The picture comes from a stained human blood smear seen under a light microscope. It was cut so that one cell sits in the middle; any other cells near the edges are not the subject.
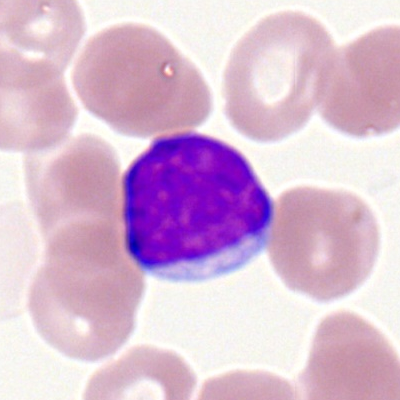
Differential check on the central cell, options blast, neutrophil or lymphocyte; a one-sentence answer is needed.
Centred in the crop is a lymphocyte.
